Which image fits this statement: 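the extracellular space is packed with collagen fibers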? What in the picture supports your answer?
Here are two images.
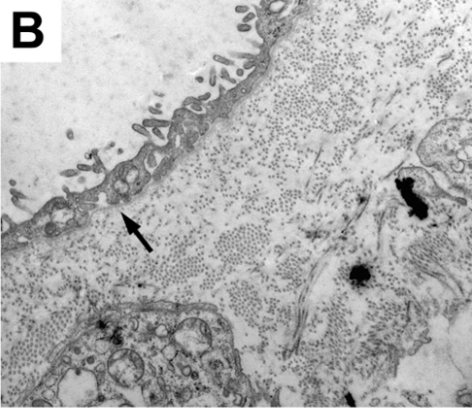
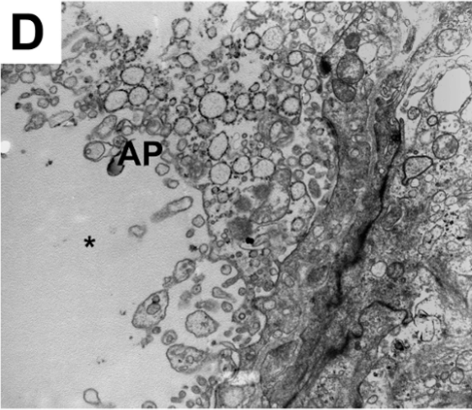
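Second image: the extracellular space is a smooth empty grey area without fibres. First image: the extracellular space is filled with densely packed small dots and fibrils. That points to this answer: the first image.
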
